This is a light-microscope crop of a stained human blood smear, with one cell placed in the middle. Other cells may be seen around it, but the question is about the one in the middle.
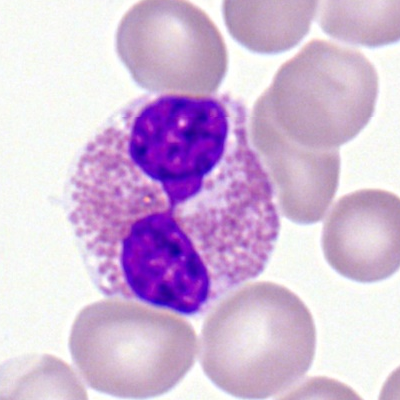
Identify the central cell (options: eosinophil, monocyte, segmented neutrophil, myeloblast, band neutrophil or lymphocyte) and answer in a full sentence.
In this smear crop, the middle cell is an eosinophil.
